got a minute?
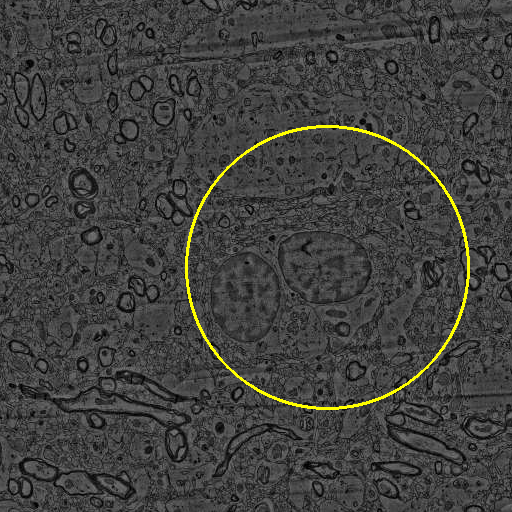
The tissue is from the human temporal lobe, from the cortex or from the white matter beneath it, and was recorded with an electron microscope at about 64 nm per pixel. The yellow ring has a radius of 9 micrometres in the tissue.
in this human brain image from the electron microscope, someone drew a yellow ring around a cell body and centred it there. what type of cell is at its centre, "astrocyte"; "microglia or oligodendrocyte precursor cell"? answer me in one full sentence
It's a microglial cell or oligodendrocyte precursor cell at the middle of that yellow ring in the shot.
